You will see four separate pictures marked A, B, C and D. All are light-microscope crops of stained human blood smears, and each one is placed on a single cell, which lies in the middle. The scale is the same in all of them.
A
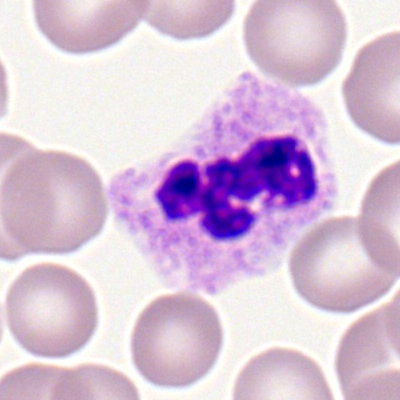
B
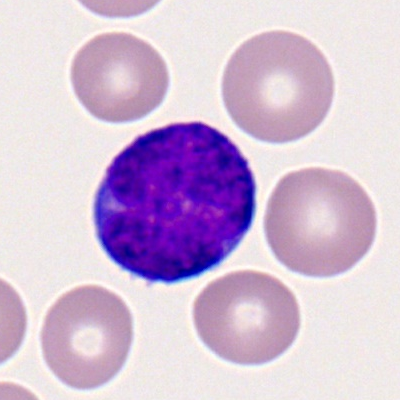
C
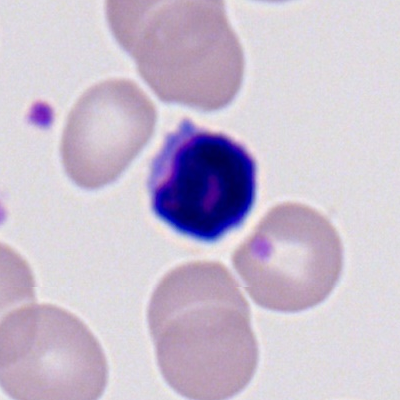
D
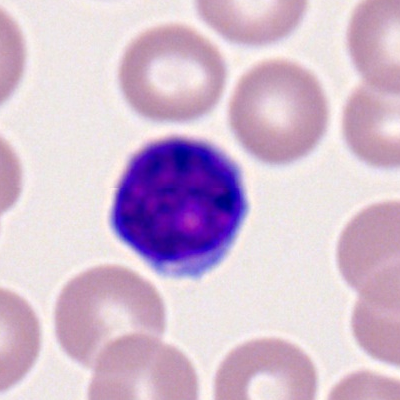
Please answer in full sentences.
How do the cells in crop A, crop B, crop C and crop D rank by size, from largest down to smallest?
Going down, they run A, B, D, C.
